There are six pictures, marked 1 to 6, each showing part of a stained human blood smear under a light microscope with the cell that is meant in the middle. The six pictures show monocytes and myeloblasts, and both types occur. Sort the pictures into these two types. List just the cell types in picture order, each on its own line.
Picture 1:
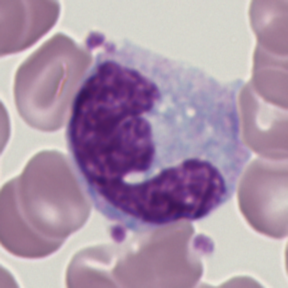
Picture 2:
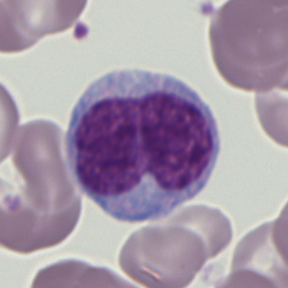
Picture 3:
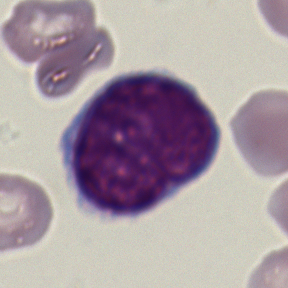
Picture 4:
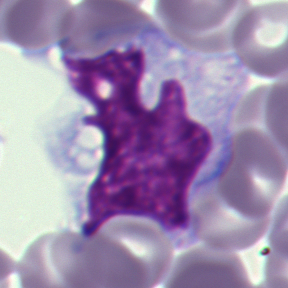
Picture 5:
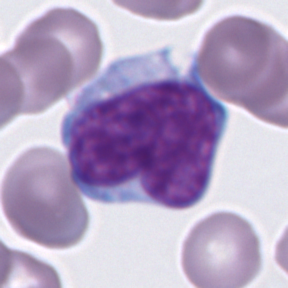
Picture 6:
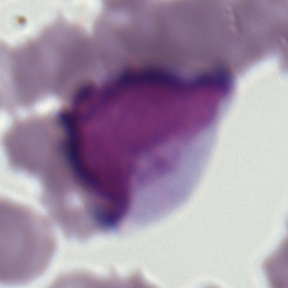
monocyte
monocyte
myeloblast
monocyte
myeloblast
myeloblast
